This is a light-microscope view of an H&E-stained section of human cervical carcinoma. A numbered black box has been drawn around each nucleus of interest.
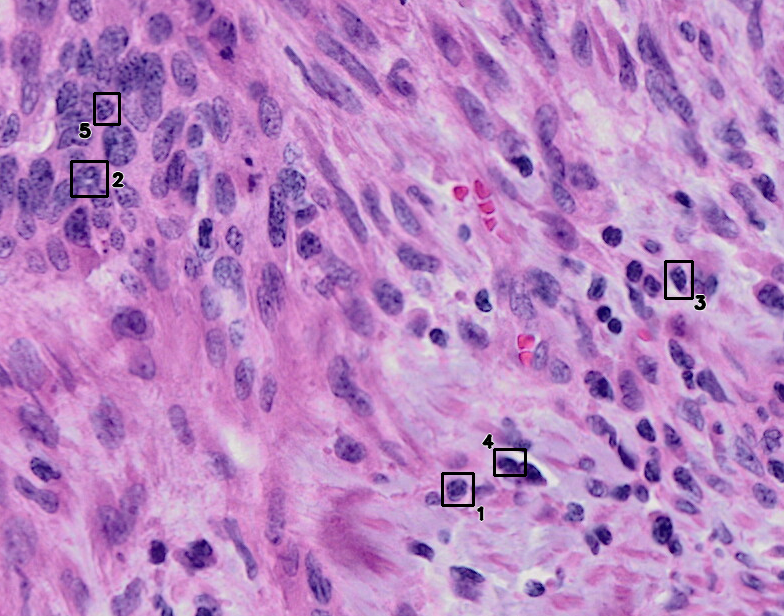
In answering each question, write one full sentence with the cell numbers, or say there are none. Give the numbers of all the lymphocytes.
As for the cells numbered 1, 3 and 4, they are lymphocytes.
